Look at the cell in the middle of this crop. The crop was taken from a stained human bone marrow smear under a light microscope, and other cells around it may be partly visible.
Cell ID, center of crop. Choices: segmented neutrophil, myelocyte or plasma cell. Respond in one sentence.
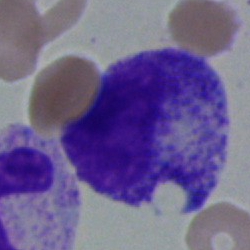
The cell the crop is centered on is a myelocyte.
